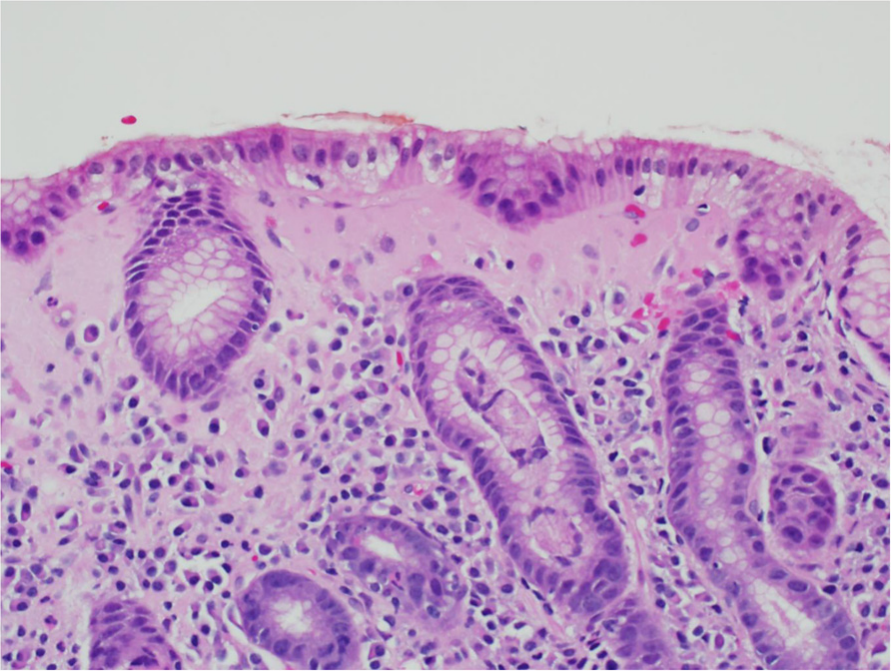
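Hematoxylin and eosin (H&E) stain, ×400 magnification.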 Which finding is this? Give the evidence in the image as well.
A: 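Thickened with a homogenous, lightly eosinophilic collagenous layer. A broad, pale pink, homogeneous band lies directly beneath the surface epithelium. The band is poor in cells compared with the tissue below it. A few red blood cells and scattered nuclei are trapped within the band.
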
